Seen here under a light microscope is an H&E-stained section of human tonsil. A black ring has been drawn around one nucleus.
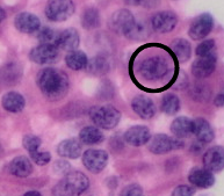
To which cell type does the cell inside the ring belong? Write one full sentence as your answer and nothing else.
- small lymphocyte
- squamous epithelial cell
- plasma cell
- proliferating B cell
In this field of tissue, the cell inside the ring is a plasma cell.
